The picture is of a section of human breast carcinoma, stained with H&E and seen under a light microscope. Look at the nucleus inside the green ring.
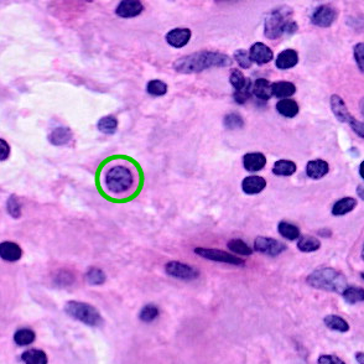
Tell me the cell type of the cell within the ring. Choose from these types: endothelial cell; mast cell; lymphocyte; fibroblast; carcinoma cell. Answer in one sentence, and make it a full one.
For the purposes of cell typing, the cell within the ring is categorized as a mast cell.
